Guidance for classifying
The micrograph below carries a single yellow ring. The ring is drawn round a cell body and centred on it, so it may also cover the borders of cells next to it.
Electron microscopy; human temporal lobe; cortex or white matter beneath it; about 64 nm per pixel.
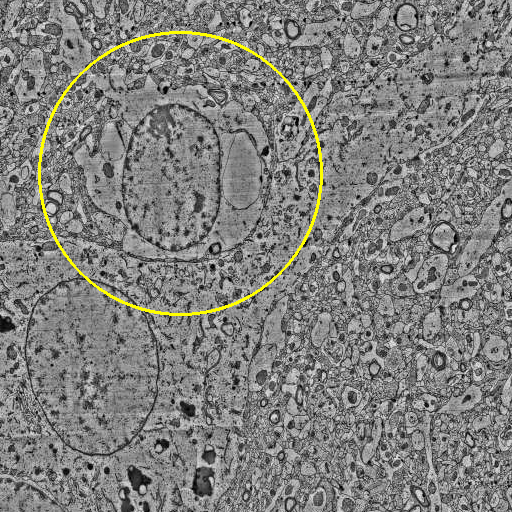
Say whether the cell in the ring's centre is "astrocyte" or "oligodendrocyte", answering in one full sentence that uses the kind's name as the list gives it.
Within the yellow ring, an astrocyte is the cell whose body sits at the centre.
